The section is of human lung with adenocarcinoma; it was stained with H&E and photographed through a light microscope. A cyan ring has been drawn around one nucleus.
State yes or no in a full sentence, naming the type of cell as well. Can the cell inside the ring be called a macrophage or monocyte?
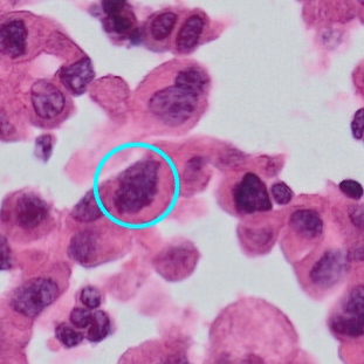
No, the identity of the cell inside the ring is a carcinoma cell, not a macrophage or monocyte.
